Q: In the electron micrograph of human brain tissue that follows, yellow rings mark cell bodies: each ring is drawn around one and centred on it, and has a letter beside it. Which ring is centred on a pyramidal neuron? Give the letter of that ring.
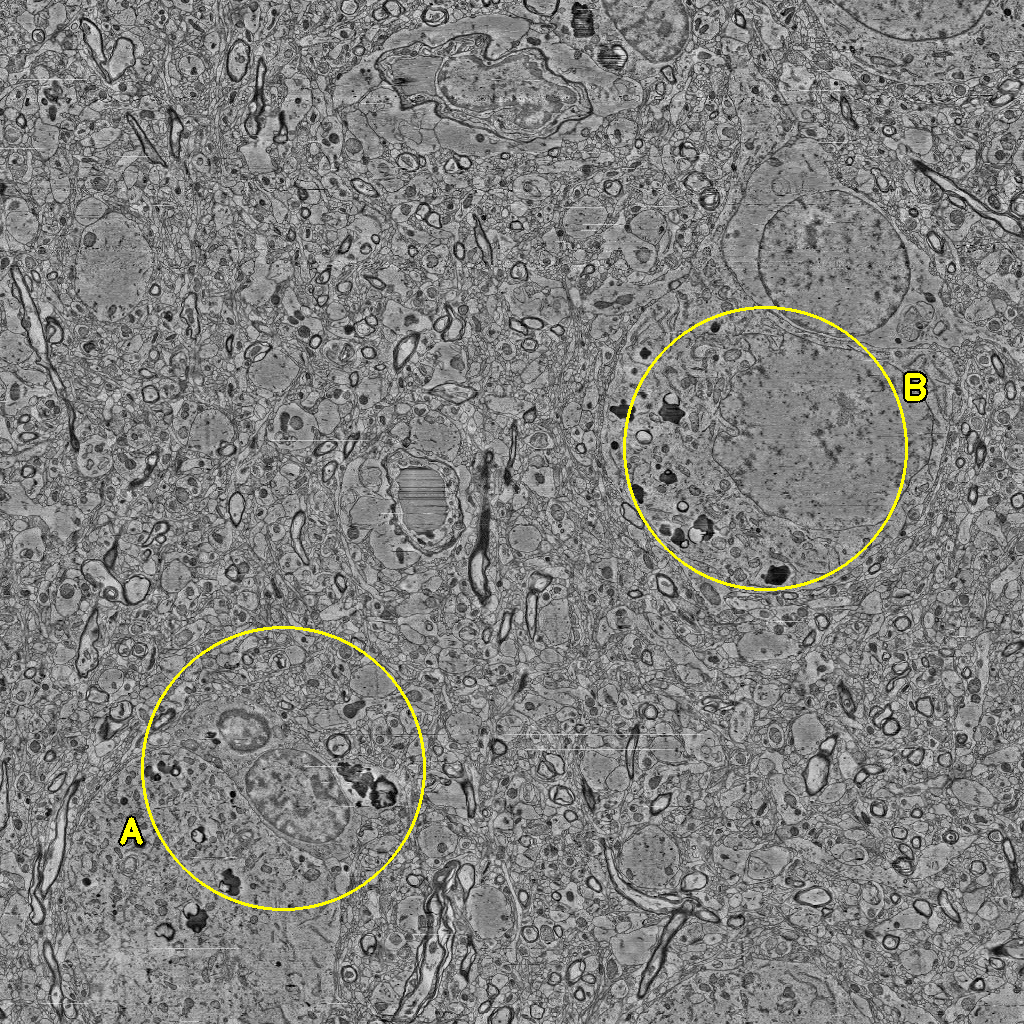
B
